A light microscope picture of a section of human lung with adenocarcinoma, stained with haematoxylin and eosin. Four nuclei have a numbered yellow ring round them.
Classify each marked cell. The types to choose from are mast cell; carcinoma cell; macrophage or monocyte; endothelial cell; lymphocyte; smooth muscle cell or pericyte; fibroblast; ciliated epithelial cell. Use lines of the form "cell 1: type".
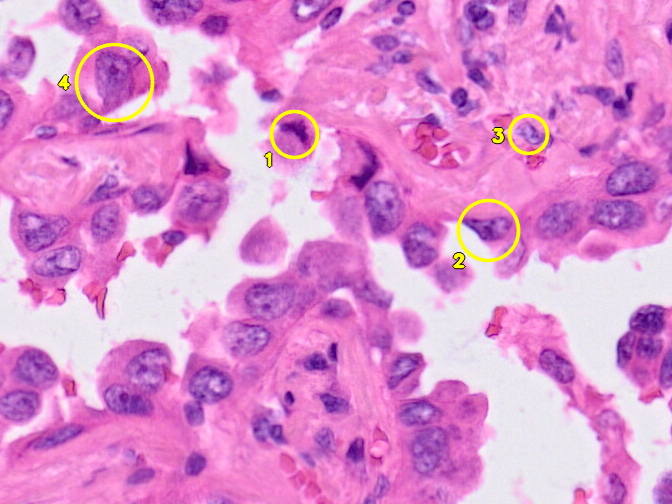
cell 1: carcinoma cell
cell 2: carcinoma cell
cell 3: endothelial cell
cell 4: carcinoma cell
